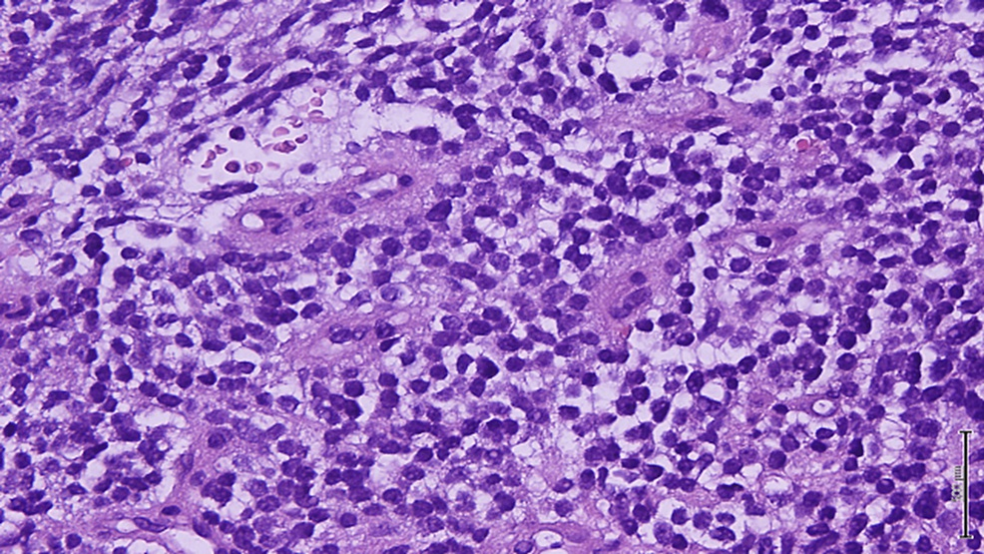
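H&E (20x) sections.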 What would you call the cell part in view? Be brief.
Scant clear to eosinophilic cytoplasm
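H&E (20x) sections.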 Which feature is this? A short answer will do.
Sheet-like growth pattern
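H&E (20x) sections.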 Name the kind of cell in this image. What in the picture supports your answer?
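Densely packed cells with round, dark purple nuclei of similar size.
Answer: uniform small round cells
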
